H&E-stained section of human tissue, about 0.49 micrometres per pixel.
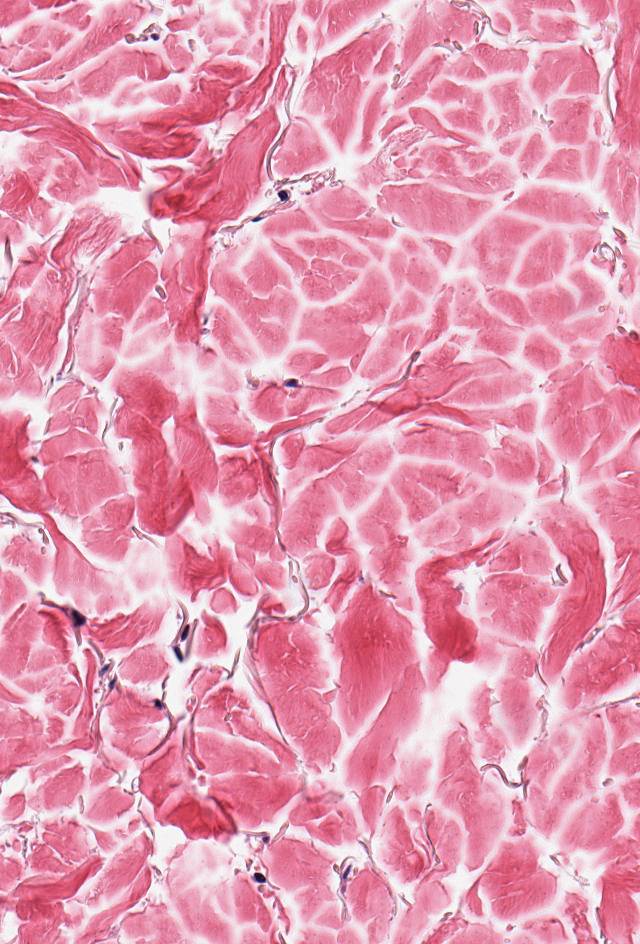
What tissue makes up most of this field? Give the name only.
dermis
